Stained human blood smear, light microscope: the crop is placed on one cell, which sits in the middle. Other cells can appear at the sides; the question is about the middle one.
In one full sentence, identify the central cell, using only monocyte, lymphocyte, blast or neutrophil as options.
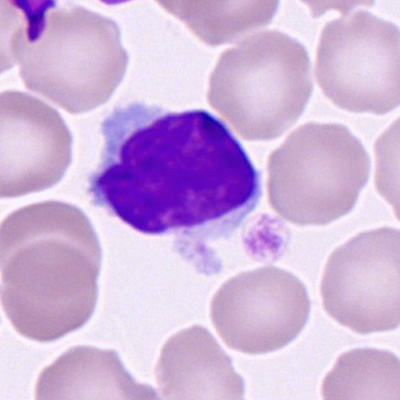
At the crop's centre, the cell is a lymphocyte.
